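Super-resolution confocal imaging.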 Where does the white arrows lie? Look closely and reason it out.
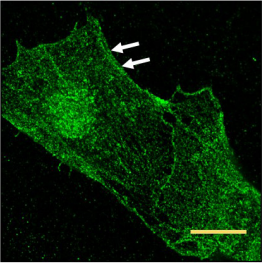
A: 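Cell edge. The arrows point to the outer border of a spread, flattened cell. A brighter green rim runs along the cell's outline where the arrows point.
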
